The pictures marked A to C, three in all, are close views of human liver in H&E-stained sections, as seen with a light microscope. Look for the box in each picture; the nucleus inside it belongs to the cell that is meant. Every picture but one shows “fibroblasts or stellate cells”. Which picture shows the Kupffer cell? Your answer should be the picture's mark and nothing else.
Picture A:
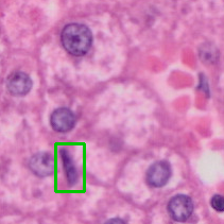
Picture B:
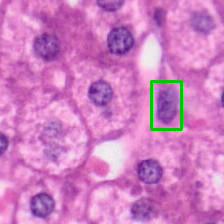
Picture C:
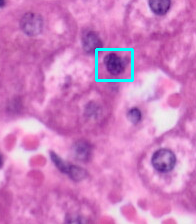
B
